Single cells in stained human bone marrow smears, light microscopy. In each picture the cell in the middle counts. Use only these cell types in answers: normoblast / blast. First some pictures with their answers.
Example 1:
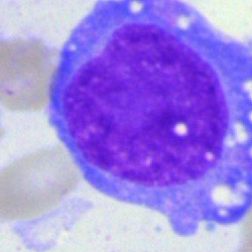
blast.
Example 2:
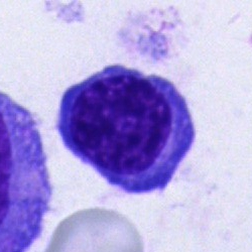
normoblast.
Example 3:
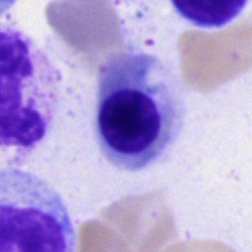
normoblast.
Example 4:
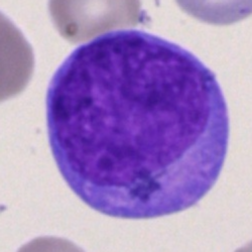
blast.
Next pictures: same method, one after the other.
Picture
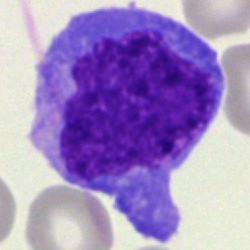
blast.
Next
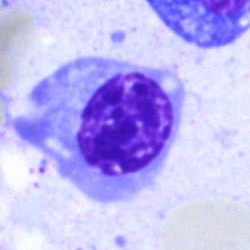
normoblast.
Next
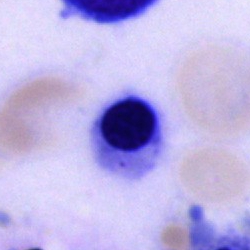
normoblast.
